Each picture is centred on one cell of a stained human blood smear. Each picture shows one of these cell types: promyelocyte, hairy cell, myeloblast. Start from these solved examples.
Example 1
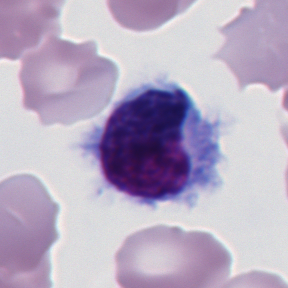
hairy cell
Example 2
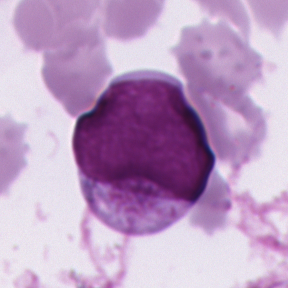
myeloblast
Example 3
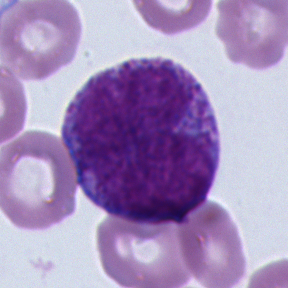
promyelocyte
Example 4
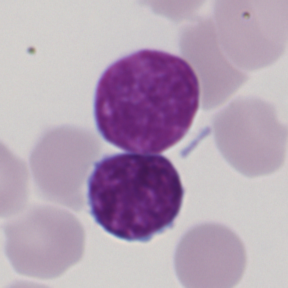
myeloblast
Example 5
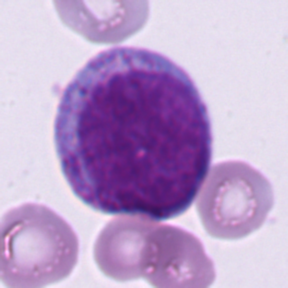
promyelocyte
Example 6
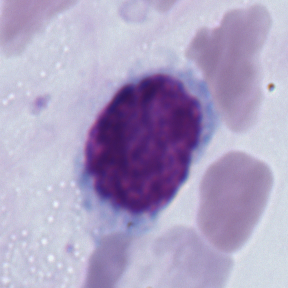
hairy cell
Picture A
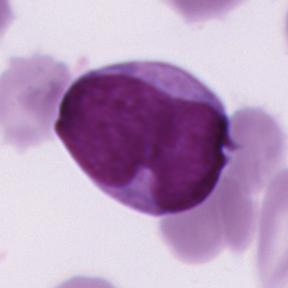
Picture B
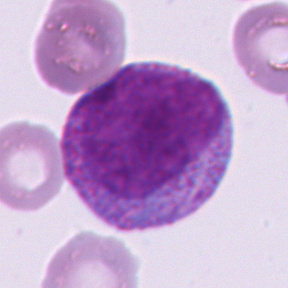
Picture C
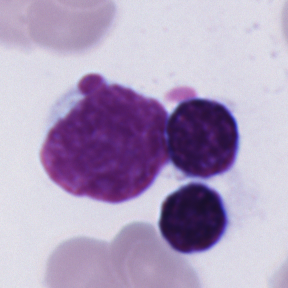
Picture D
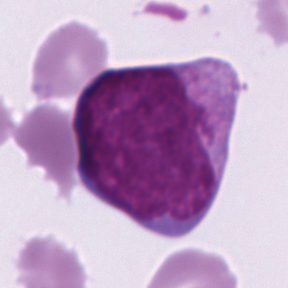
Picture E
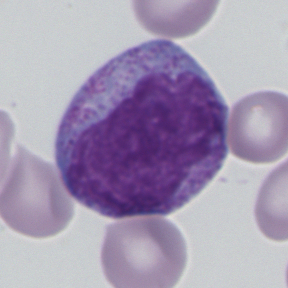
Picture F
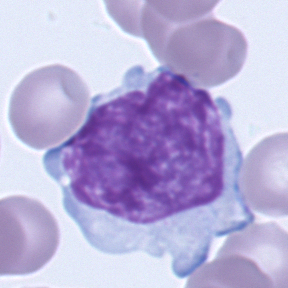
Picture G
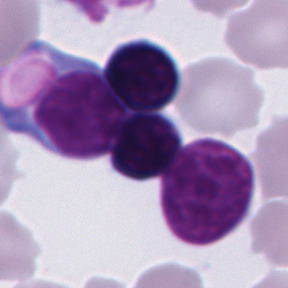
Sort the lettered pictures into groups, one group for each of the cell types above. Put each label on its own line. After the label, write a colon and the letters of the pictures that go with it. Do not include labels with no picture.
promyelocyte: B, E
myeloblast: A, C, D, F, G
